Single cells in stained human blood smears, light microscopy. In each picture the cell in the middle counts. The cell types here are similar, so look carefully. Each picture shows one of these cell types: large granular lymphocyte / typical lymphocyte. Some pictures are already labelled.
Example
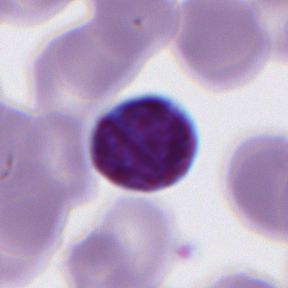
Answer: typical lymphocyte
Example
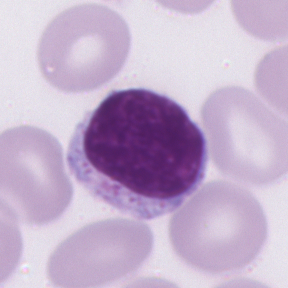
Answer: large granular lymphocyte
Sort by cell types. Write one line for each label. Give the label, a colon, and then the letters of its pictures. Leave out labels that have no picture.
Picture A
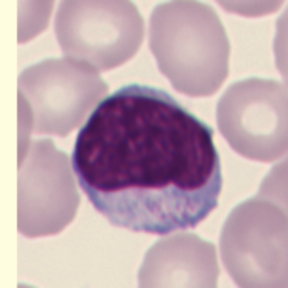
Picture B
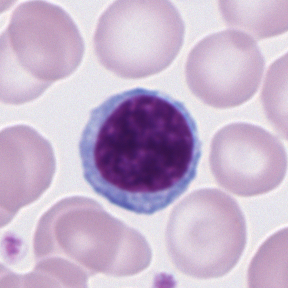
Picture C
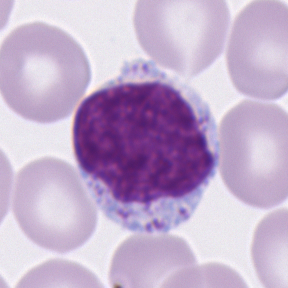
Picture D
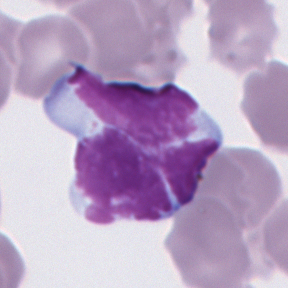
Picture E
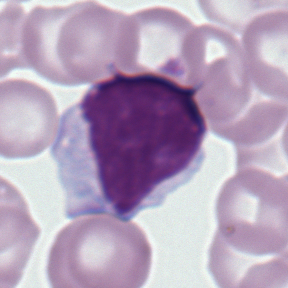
large granular lymphocyte: C
typical lymphocyte: A, B, D, E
